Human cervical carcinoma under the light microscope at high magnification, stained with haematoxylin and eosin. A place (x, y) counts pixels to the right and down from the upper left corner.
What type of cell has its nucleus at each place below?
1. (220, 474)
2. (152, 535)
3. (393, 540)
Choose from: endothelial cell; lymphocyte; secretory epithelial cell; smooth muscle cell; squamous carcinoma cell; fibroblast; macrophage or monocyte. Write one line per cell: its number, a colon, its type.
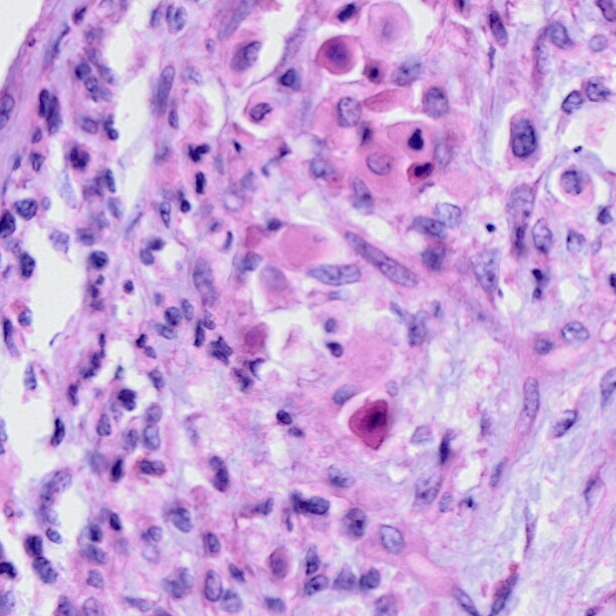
1: macrophage or monocyte
2: macrophage or monocyte
3: endothelial cell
